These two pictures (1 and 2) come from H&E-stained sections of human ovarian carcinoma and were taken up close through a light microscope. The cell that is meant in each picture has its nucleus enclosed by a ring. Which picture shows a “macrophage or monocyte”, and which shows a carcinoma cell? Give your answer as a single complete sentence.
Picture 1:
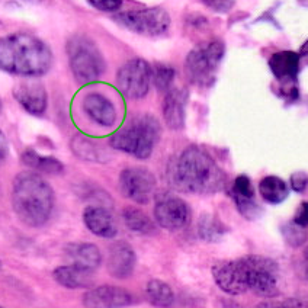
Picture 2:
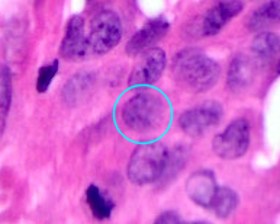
In picture 1 the cell is a “macrophage or monocyte”; in picture 2, a carcinoma cell.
